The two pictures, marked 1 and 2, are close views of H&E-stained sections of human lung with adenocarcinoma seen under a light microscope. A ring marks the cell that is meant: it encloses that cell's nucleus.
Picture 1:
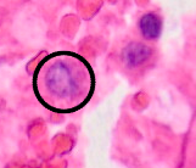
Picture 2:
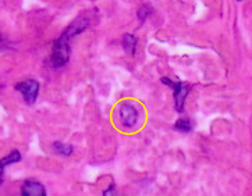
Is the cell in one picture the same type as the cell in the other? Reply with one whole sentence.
No. Picture 1 shows a “macrophage or monocyte”, but picture 2 shows a mast cell.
